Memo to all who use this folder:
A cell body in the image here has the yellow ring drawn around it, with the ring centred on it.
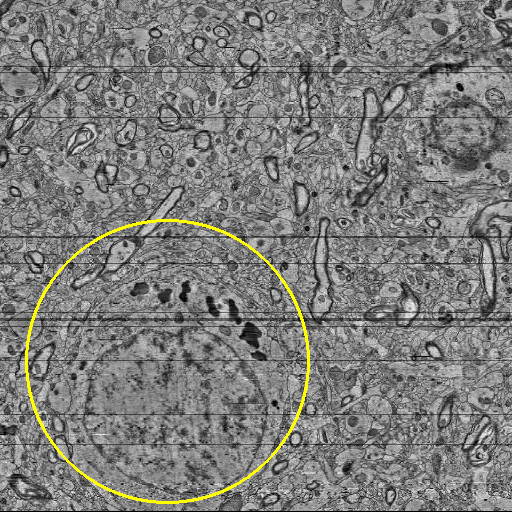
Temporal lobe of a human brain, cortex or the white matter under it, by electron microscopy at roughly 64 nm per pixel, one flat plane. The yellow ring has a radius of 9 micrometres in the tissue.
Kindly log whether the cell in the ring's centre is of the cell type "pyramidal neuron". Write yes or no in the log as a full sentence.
No, logged: the ring in this image is centred on a cell of a different type.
